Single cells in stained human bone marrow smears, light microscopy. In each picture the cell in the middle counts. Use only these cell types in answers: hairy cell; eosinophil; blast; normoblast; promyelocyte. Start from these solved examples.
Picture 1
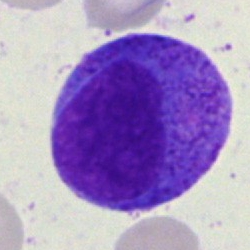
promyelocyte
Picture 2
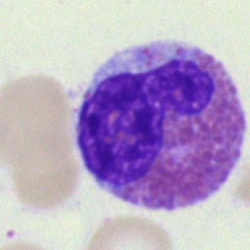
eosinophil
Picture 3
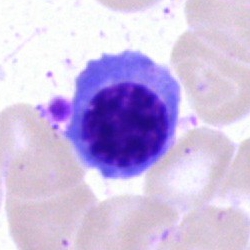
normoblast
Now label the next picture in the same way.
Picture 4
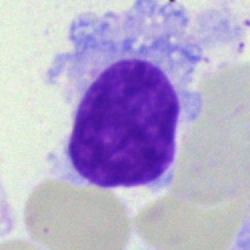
hairy cell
